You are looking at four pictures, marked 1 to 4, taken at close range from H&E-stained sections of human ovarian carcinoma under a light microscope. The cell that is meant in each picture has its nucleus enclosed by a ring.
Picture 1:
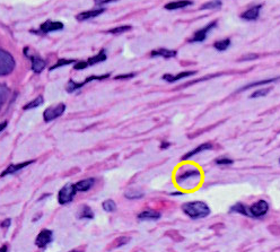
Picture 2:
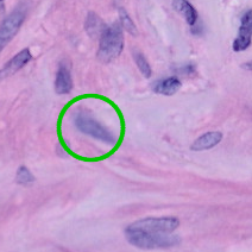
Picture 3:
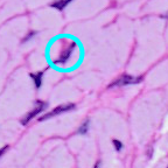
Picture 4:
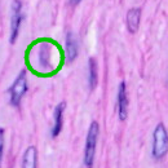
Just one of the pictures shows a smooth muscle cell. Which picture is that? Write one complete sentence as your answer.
Picture 2 shows the smooth muscle cell.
